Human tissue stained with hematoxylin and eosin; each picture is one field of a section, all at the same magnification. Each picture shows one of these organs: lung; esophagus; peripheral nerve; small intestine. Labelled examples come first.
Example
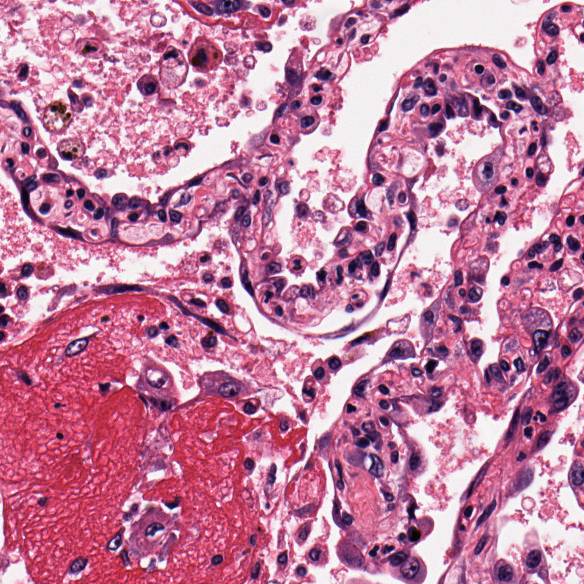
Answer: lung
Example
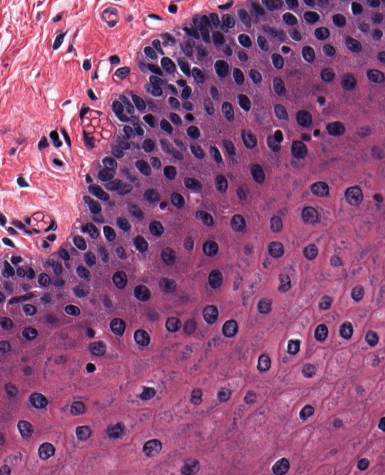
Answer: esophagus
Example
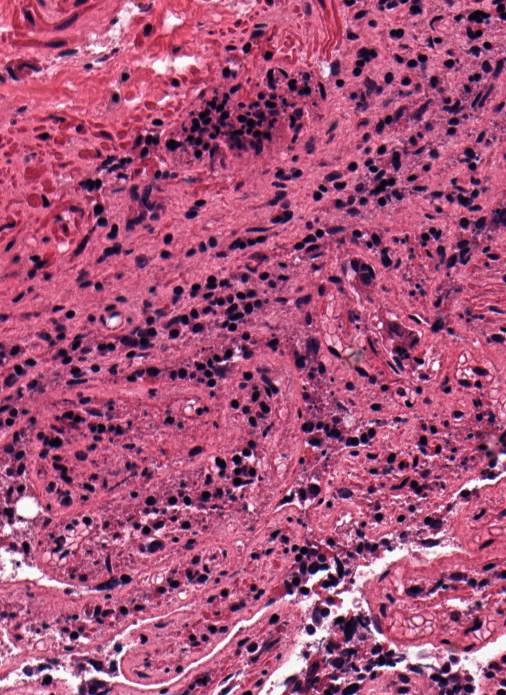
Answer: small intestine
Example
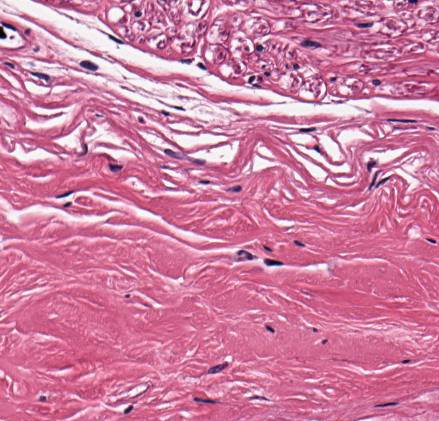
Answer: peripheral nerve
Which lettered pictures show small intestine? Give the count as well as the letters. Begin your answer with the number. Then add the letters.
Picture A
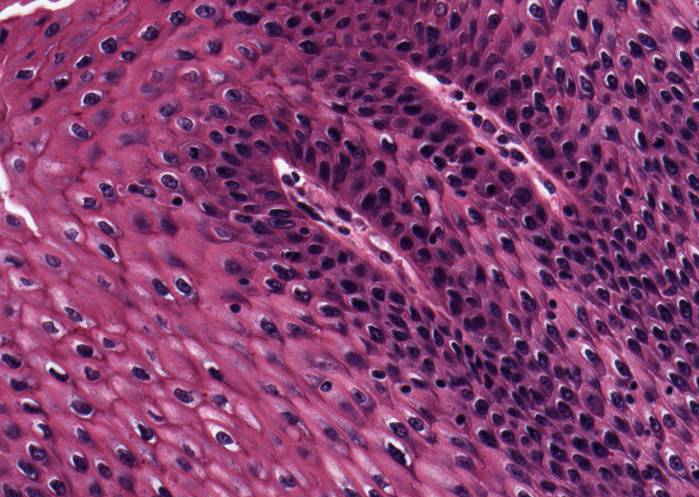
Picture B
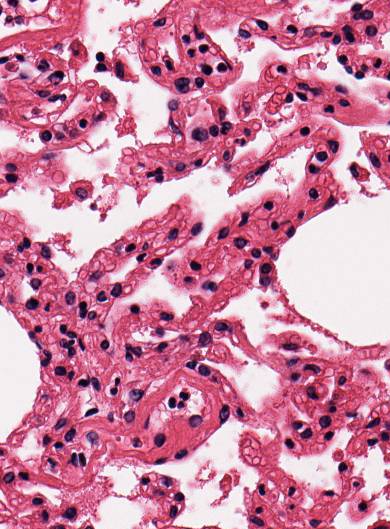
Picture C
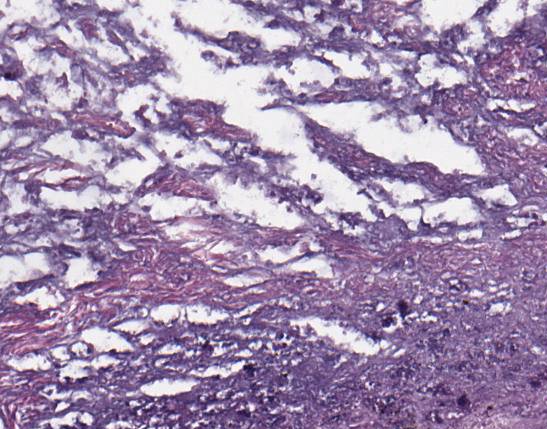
1: C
